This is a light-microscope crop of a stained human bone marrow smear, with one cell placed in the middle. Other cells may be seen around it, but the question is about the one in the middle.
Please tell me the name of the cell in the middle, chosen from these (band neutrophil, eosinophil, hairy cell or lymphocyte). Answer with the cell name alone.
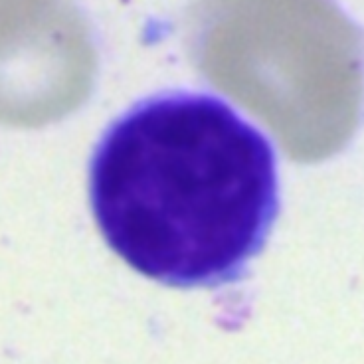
lymphocyte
